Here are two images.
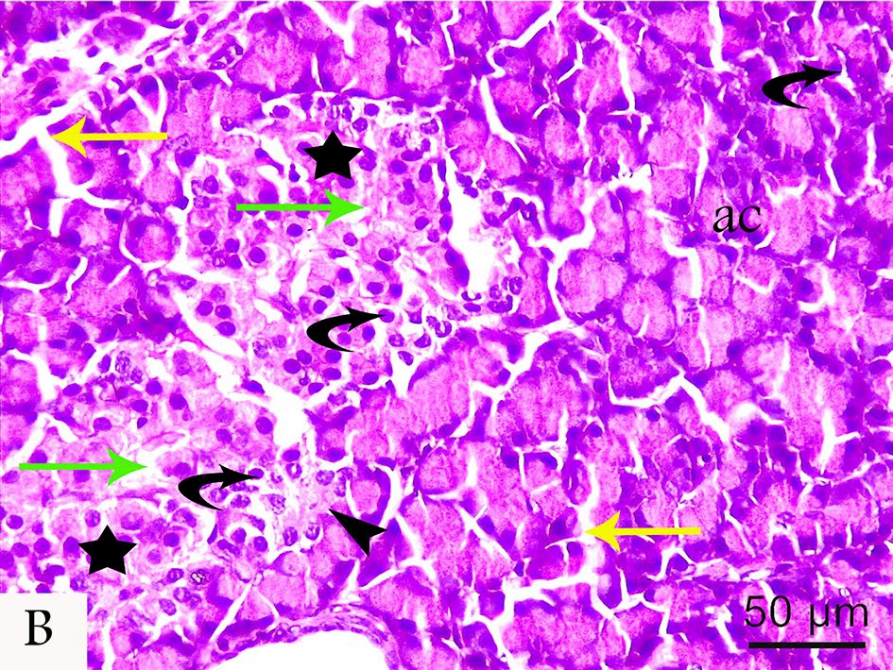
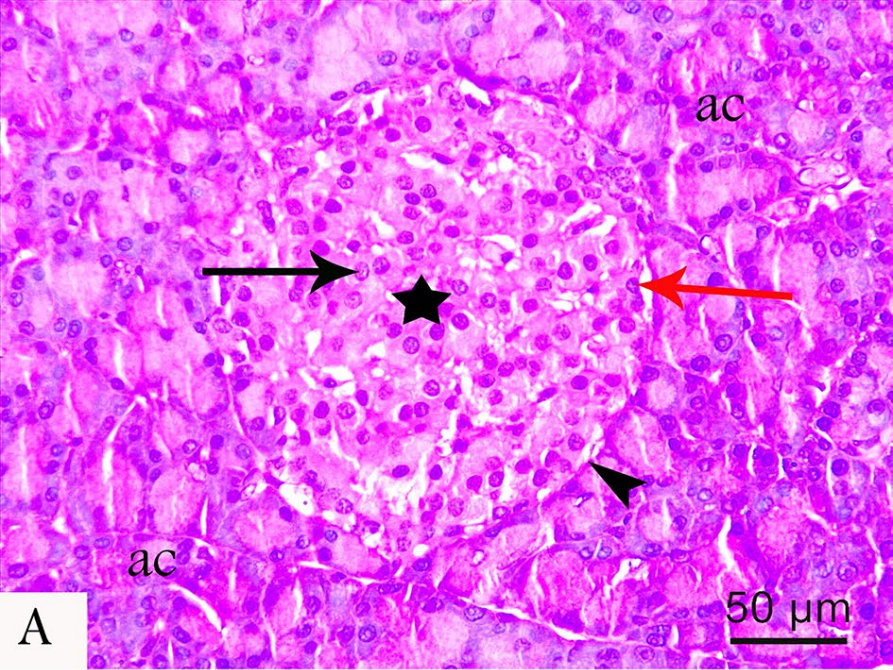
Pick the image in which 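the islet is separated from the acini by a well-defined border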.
The second image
